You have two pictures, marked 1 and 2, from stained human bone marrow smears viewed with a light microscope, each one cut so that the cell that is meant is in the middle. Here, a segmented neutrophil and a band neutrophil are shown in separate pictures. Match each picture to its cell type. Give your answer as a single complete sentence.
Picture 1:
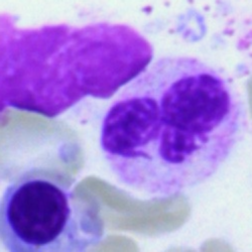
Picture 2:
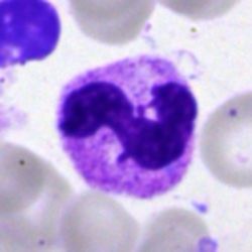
Picture 2 shows a band neutrophil, while picture 1 shows a segmented neutrophil.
